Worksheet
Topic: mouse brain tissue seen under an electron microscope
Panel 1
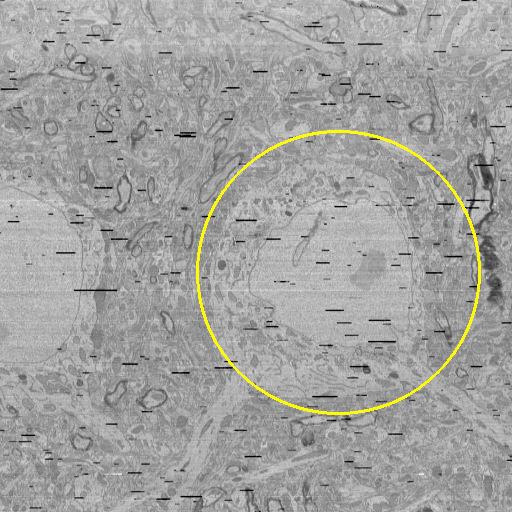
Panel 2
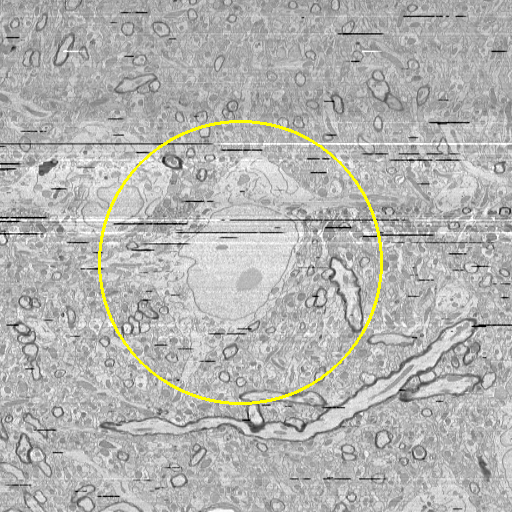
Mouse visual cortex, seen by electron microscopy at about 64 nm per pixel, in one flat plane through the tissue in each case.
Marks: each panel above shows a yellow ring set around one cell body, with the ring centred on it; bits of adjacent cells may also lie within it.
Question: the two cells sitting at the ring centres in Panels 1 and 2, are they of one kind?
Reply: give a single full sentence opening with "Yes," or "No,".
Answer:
Yes, the two ring-centre cells in Panel 1 and Panel 2 are of one kind.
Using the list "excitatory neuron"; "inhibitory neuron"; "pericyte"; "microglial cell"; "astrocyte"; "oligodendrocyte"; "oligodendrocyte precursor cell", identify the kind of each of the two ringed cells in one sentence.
Both pictures show an excitatory neuron at the centre of the ring.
